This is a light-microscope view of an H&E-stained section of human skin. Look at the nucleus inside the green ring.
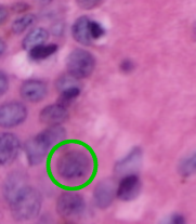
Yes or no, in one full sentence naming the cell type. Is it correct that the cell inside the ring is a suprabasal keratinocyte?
No, write a basal keratinocyte for the cell inside the ring rather than a suprabasal keratinocyte.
